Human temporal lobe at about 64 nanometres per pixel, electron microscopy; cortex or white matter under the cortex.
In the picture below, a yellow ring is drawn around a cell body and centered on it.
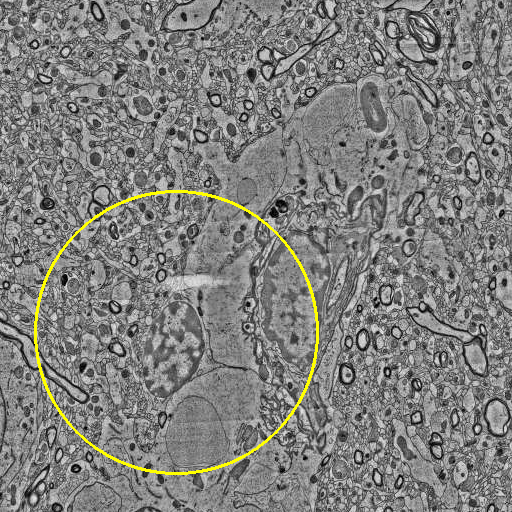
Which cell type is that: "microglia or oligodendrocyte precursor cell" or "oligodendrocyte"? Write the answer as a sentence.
The cell centered in the ring is a microglial cell or oligodendrocyte precursor cell.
